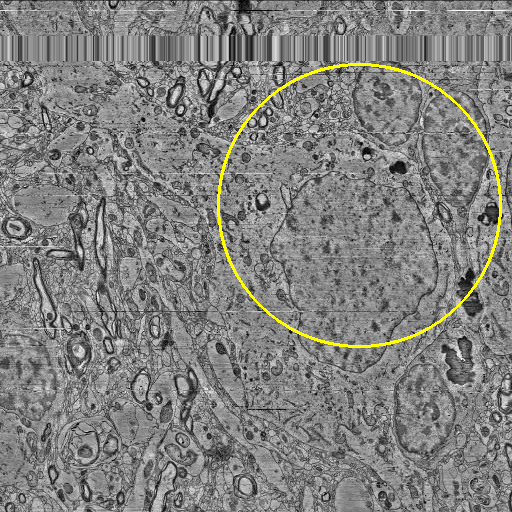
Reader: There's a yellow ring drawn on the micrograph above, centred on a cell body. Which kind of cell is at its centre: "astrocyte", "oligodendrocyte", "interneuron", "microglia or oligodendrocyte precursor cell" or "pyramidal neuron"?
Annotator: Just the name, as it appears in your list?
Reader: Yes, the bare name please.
pyramidal neuron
